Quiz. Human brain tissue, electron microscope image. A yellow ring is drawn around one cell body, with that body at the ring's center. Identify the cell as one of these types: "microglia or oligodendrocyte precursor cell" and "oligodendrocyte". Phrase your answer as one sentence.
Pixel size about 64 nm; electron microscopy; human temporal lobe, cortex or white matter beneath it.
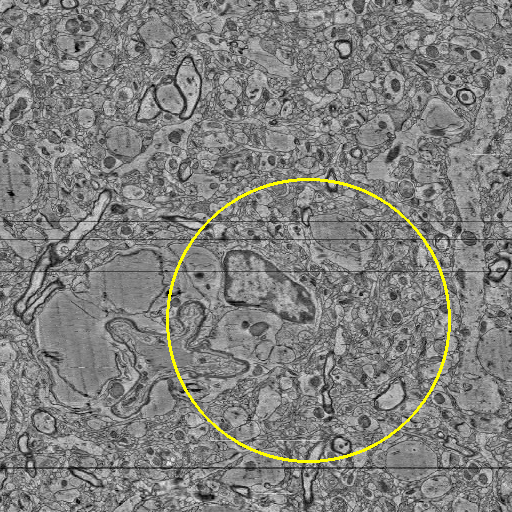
At the center of the ring sits a microglial cell or oligodendrocyte precursor cell.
